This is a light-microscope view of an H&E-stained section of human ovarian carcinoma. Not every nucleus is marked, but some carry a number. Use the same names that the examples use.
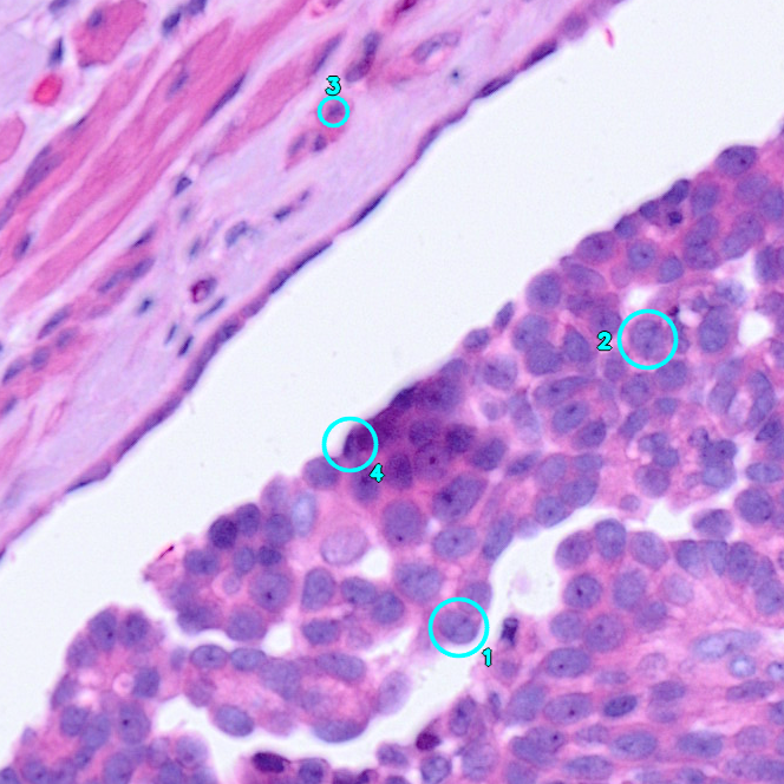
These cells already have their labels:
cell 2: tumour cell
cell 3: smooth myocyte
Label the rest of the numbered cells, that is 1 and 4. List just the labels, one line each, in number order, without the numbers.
tumour cell
tumour cell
